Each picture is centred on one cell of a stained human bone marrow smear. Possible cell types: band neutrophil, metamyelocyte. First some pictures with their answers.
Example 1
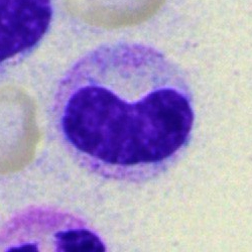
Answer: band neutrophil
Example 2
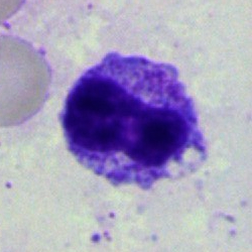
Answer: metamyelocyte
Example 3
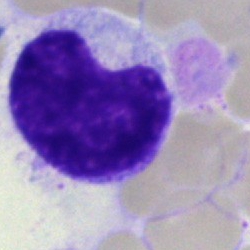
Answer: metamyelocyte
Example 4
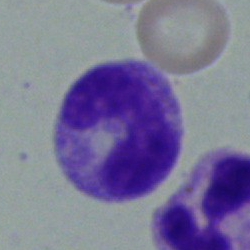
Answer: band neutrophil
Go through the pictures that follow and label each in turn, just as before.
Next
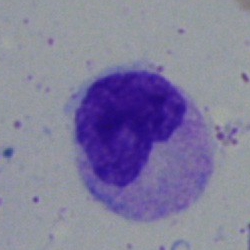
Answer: metamyelocyte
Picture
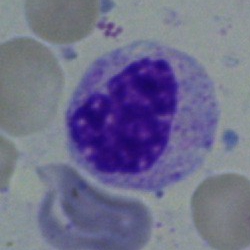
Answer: band neutrophil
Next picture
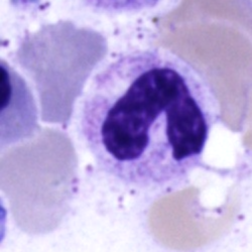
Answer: band neutrophil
